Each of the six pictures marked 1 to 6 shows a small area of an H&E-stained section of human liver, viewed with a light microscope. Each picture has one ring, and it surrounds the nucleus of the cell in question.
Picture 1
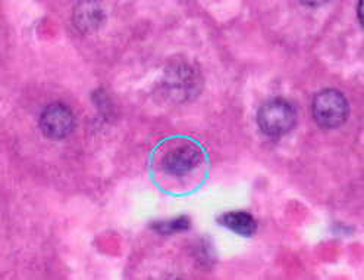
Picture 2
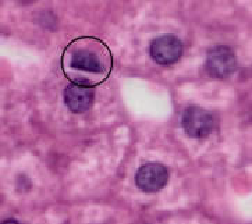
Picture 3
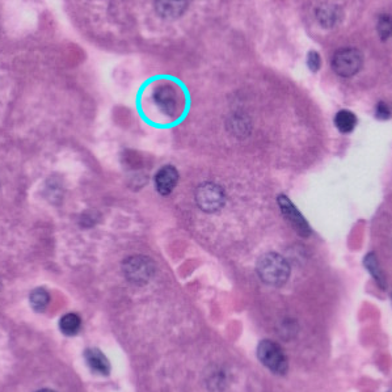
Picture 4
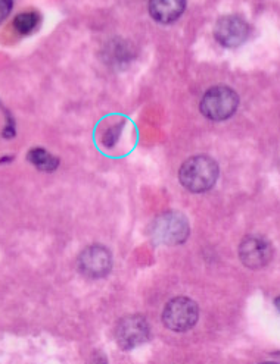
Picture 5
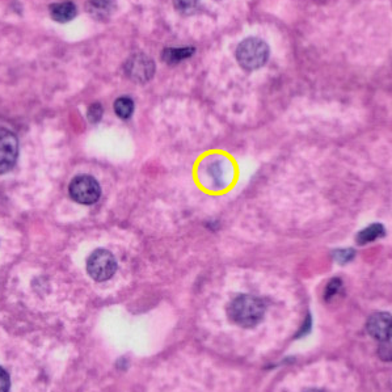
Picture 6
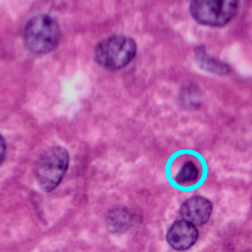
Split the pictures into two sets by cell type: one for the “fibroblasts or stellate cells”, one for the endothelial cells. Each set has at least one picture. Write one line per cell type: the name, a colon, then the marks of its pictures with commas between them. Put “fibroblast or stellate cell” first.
fibroblast or stellate cell: 1, 2, 6
endothelial cell: 3, 4, 5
